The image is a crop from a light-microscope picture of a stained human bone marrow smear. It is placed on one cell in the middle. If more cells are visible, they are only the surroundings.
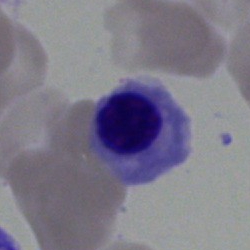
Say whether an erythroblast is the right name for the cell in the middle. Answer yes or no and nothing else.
yes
